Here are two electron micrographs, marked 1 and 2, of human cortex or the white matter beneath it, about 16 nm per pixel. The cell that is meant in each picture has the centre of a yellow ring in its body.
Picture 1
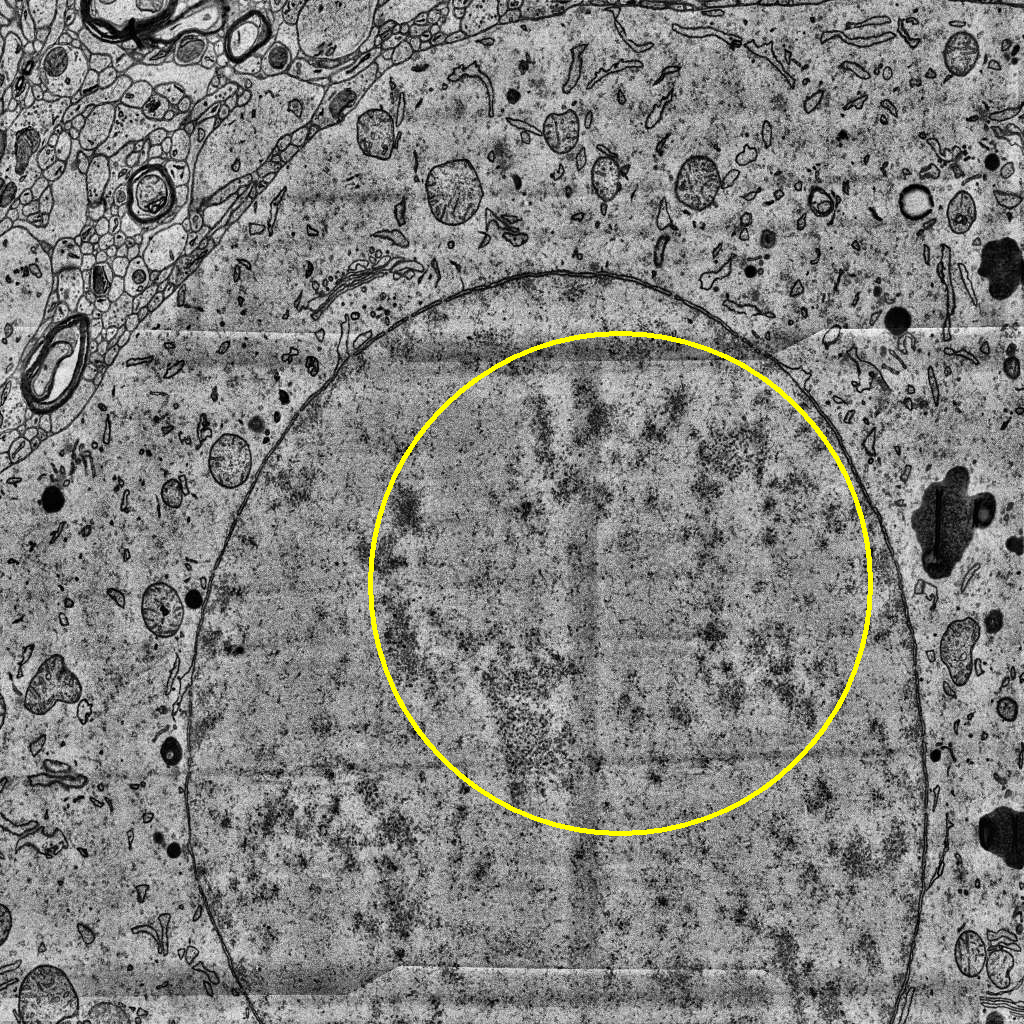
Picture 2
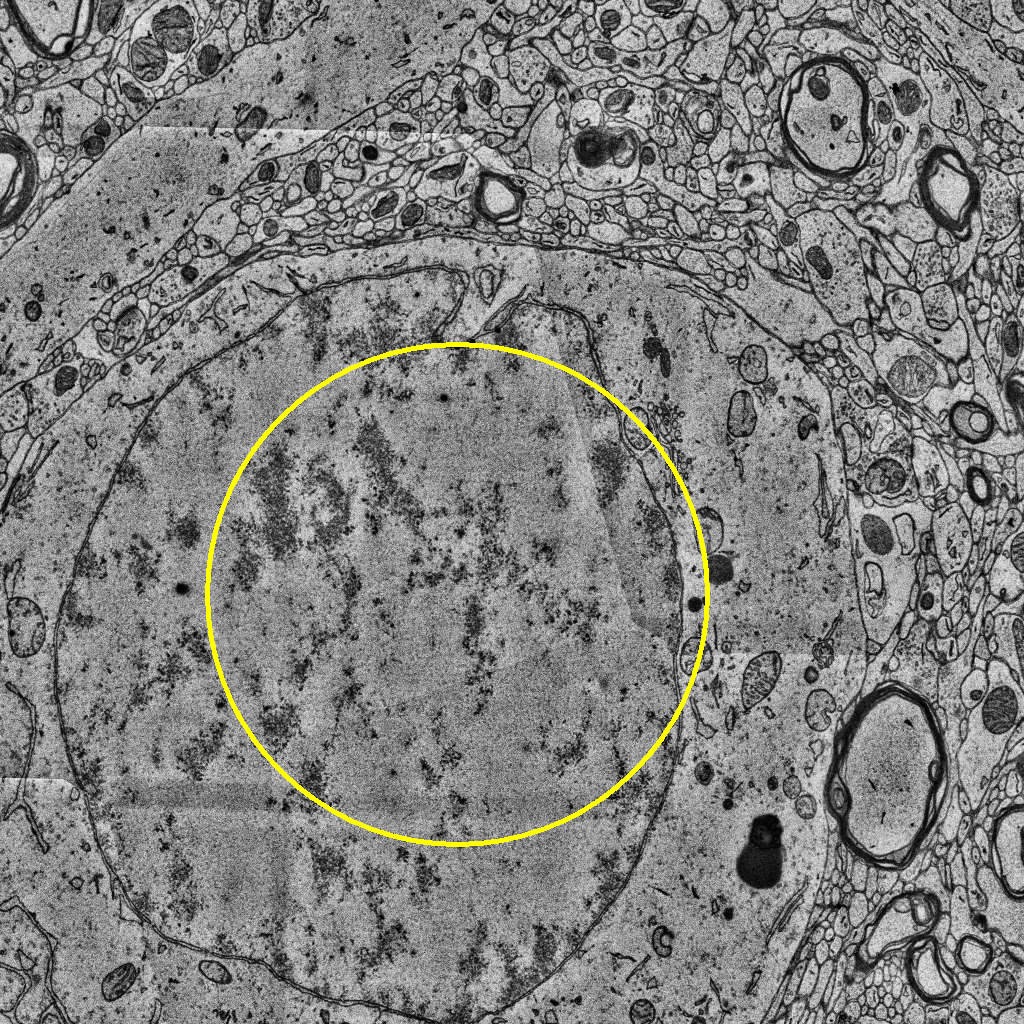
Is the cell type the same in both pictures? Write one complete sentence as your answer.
Yes; the cells in both pictures are pyramidal neurons.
